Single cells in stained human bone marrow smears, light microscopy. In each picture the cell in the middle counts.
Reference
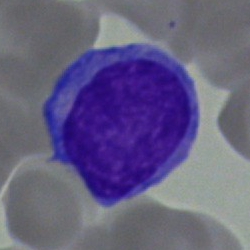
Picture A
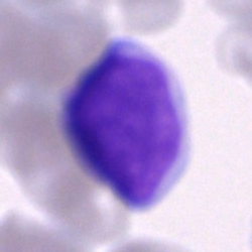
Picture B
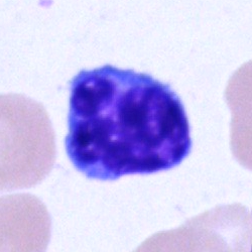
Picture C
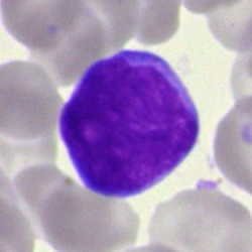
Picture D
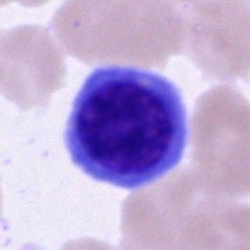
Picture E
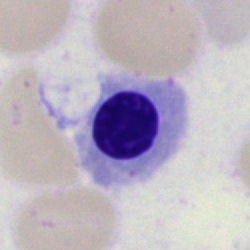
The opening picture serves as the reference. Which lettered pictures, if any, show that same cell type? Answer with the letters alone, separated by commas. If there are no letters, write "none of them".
A, C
